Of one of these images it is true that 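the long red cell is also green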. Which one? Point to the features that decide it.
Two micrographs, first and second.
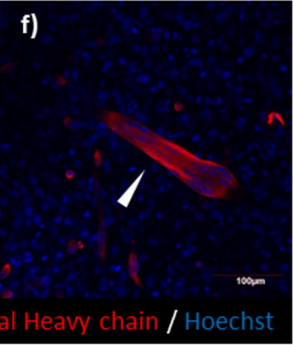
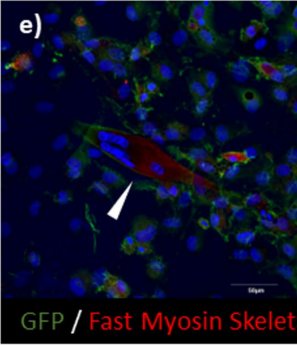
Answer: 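First image: the long red cell shows no green, and no green appears anywhere. So: the second image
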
